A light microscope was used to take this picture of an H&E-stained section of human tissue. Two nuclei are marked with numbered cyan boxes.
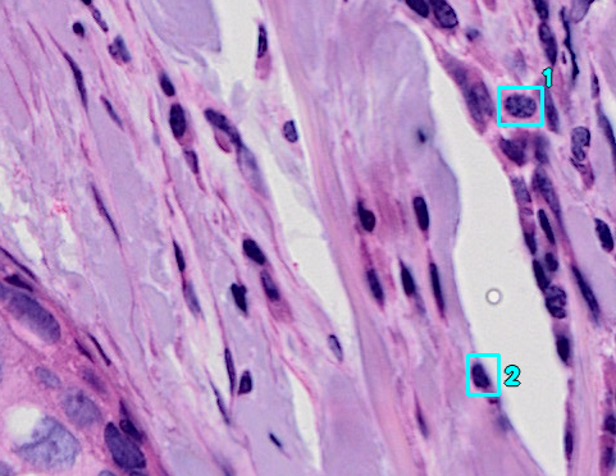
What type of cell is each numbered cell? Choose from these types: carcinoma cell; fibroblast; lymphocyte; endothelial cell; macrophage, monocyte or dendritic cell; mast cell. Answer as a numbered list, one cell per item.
1. mast cell
2. lymphocyte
